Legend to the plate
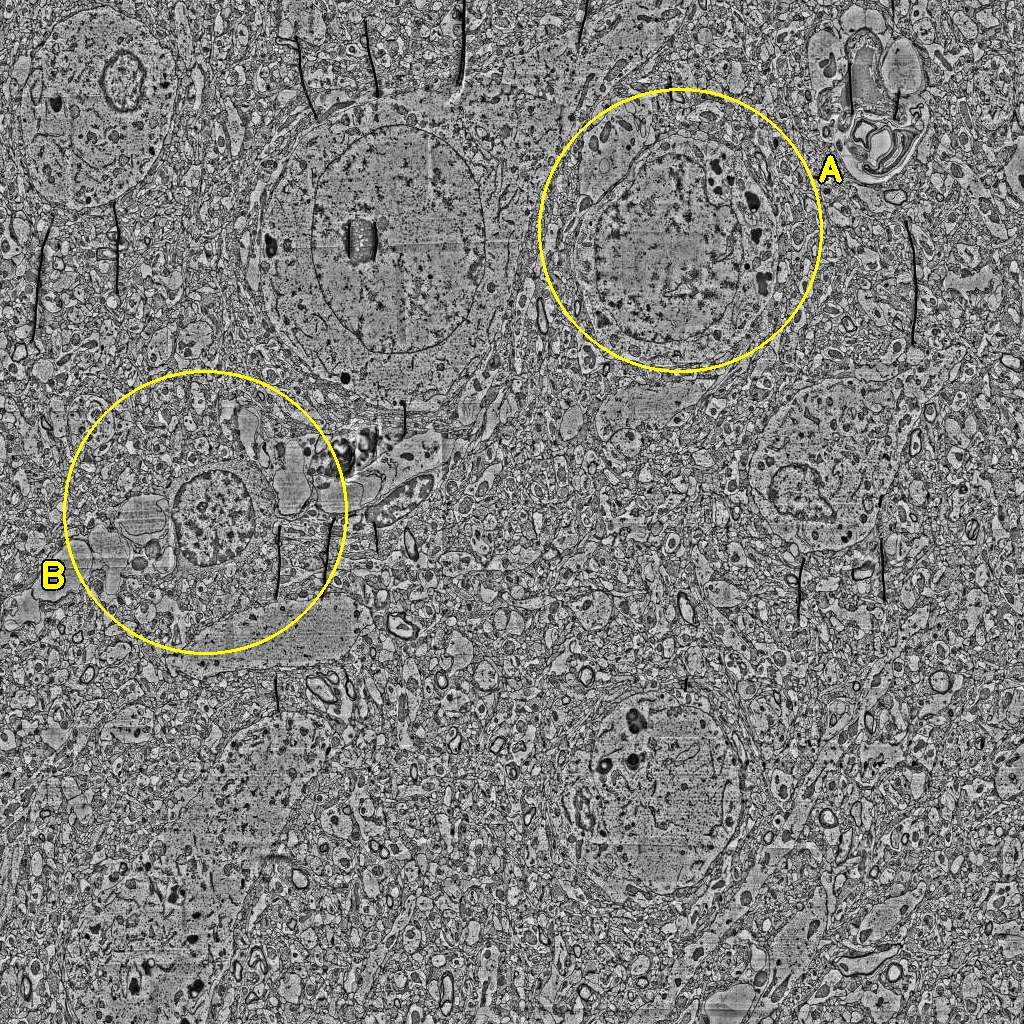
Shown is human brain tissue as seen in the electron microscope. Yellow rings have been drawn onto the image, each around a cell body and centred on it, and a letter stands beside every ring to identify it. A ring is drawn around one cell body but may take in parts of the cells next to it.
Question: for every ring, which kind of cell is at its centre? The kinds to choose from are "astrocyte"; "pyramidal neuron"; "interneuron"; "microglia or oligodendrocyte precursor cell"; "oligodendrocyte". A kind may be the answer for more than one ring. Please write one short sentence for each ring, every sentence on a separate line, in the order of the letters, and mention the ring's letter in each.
The kind of cell at the centre of ring A is an interneuron.
The kind of cell at the centre of ring B is an oligodendrocyte.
